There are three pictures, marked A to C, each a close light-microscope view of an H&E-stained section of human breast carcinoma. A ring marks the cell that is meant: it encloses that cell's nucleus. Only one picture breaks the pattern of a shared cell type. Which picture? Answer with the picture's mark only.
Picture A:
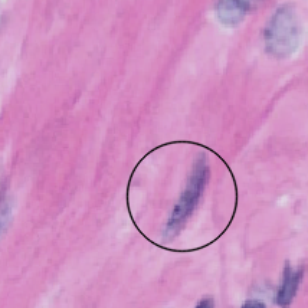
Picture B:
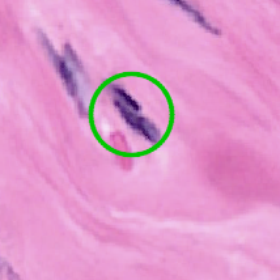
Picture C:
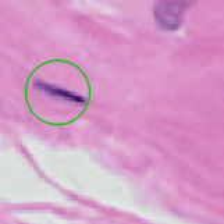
B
